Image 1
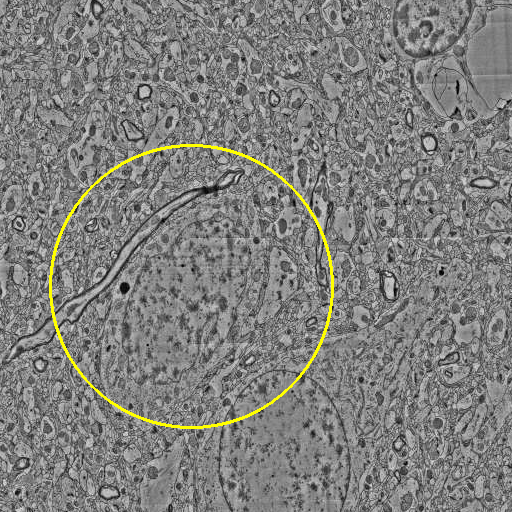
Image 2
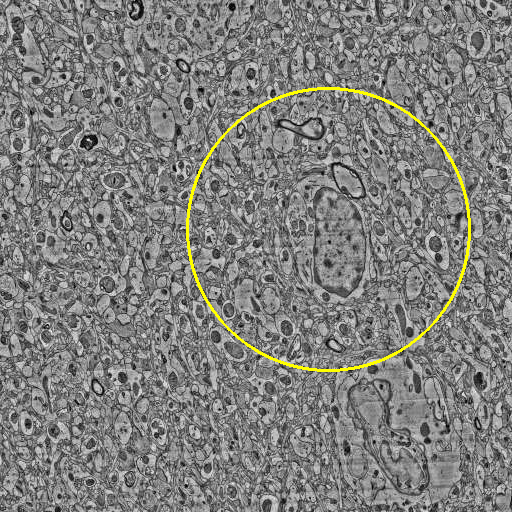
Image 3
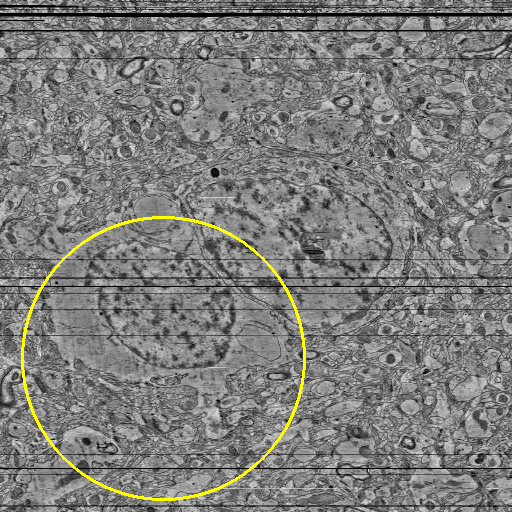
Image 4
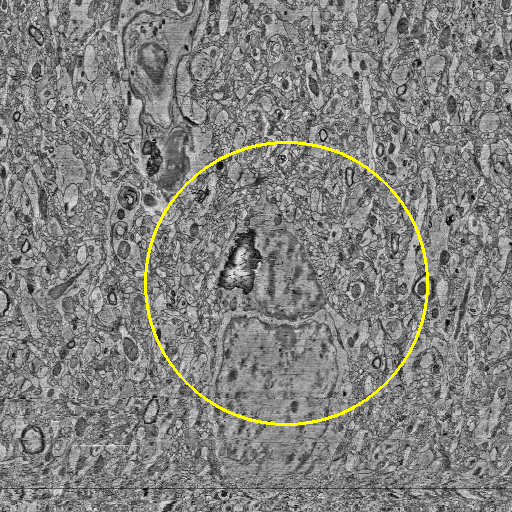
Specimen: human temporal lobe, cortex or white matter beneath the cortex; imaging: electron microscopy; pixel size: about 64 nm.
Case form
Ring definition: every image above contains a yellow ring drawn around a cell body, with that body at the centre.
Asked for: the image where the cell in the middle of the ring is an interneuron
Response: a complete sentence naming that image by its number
Image 1 is the one.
